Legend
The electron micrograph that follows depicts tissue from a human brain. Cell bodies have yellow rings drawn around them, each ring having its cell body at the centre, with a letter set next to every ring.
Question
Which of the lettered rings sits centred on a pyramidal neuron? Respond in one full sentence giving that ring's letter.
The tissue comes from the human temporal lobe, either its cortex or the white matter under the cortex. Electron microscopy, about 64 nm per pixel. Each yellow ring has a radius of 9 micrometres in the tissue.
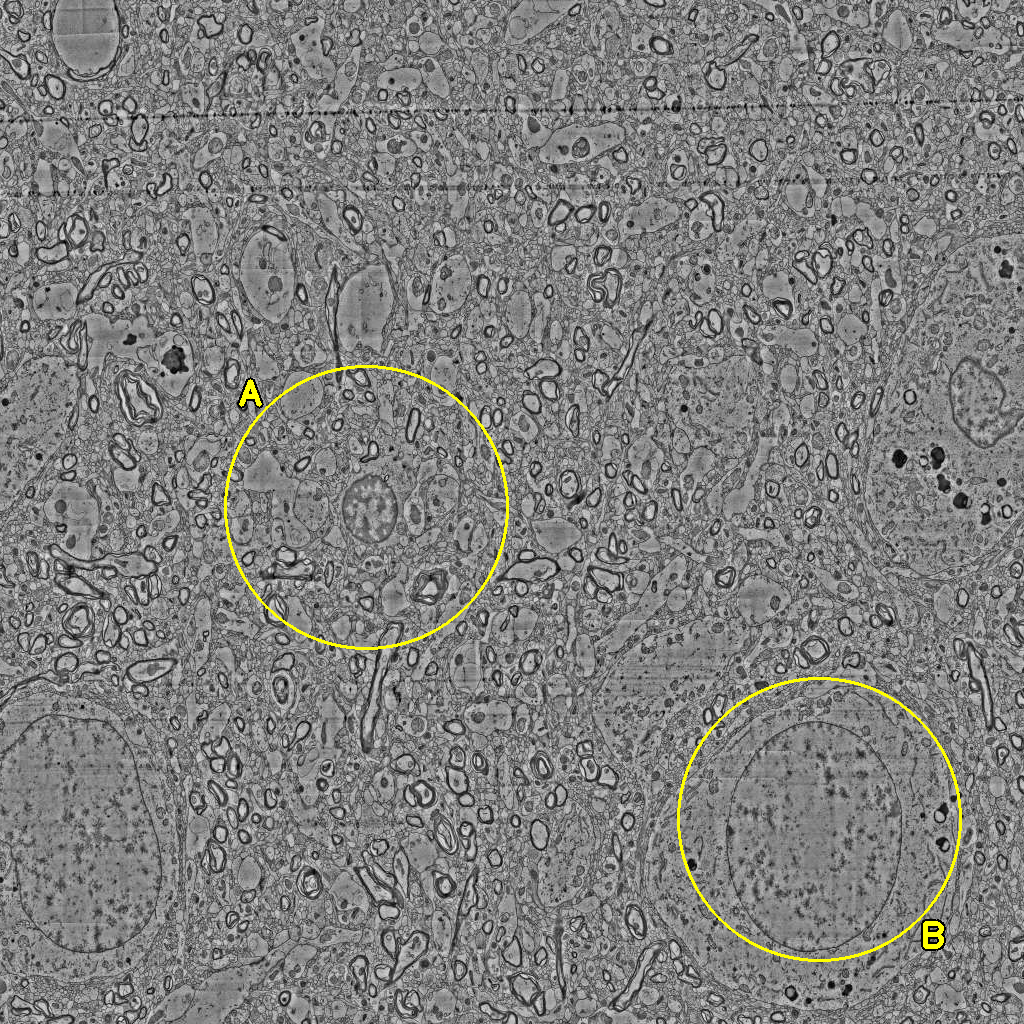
The letter B belongs to the ring centred on the cell asked about in the micrograph.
